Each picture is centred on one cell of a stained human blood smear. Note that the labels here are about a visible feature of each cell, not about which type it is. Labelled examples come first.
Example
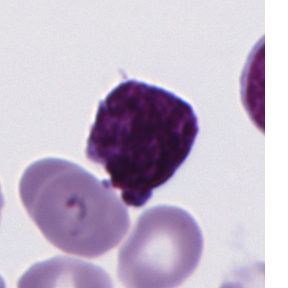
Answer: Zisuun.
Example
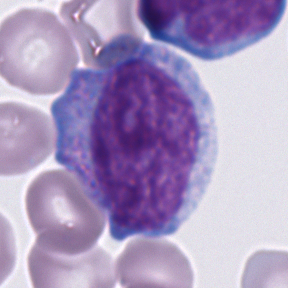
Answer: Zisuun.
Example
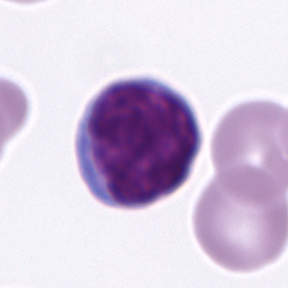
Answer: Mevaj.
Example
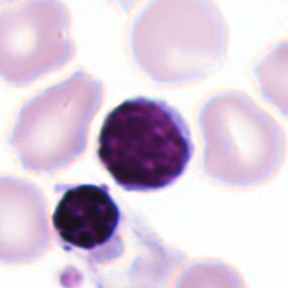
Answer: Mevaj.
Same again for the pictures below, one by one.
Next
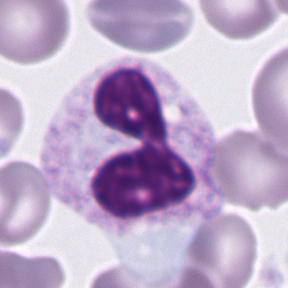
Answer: Zisuun.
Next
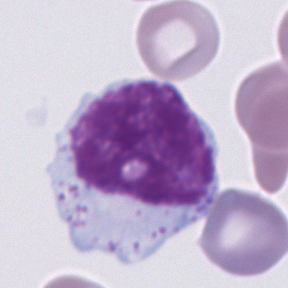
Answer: Zisuun.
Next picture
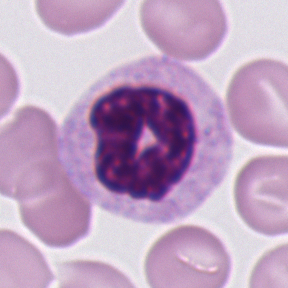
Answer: Mevaj.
